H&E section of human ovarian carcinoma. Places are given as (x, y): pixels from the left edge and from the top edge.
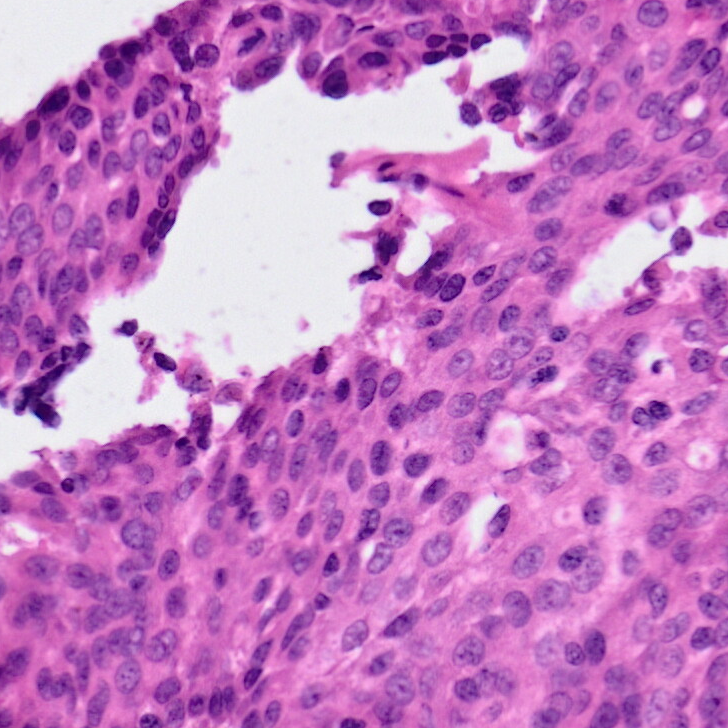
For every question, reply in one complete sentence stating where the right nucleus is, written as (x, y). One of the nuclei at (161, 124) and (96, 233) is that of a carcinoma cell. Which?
That would be the nucleus at (96, 233); it belongs to a carcinoma cell.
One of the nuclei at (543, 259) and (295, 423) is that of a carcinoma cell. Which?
Of the pair, the nucleus located at (543, 259) belongs to a carcinoma cell.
